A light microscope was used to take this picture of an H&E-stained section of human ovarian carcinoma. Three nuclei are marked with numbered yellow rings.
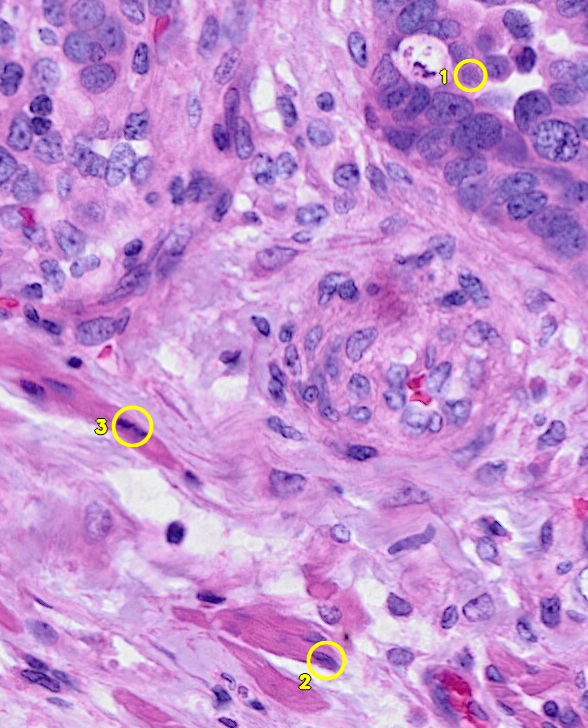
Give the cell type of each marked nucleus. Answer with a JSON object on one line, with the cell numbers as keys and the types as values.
{"1": "carcinoma cell", "2": "smooth muscle cell", "3": "smooth muscle cell"}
